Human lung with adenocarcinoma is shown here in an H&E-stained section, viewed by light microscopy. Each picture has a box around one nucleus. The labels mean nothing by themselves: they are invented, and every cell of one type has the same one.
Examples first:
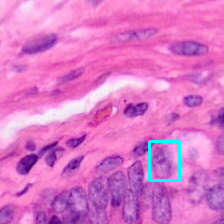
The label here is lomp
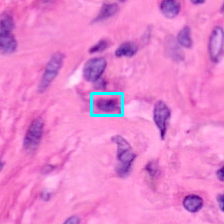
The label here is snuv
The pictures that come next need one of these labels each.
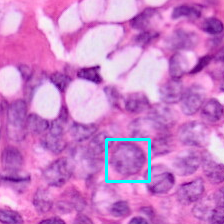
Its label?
lomp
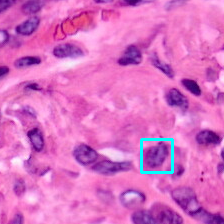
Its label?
snuv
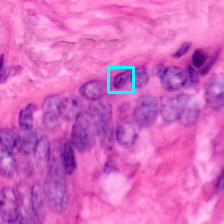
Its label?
lomp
